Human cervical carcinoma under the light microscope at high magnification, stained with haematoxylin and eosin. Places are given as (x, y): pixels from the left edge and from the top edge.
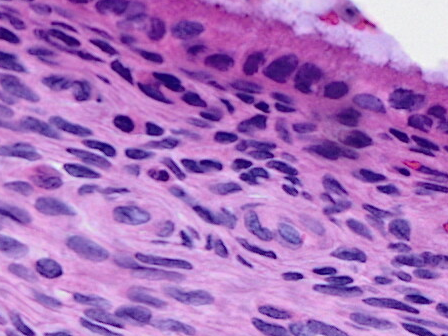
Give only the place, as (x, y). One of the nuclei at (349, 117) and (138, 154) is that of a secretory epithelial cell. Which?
(349, 117)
